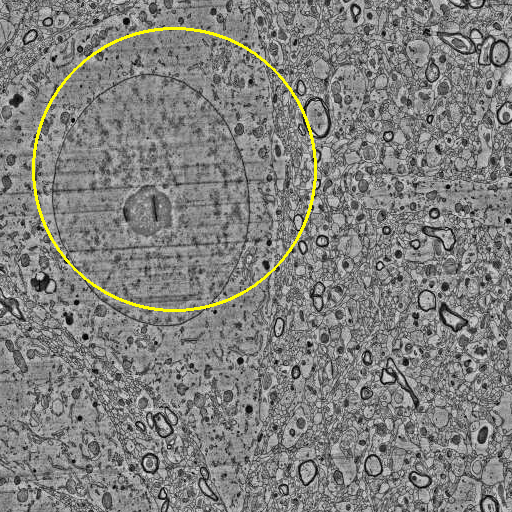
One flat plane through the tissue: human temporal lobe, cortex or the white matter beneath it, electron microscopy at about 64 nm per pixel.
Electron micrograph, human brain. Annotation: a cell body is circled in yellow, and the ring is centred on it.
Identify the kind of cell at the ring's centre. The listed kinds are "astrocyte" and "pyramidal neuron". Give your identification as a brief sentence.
The circled cell body is that of a pyramidal neuron.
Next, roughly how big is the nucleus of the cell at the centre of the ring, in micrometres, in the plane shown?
In this plane, about 16 micrometres in length and 13 in width.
